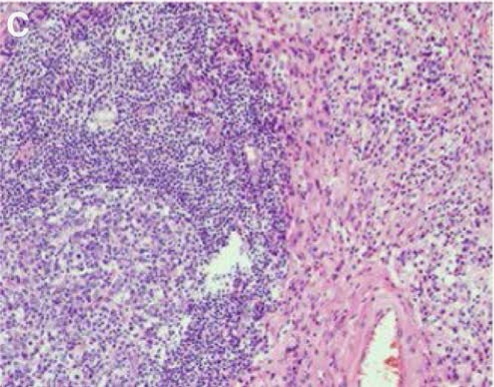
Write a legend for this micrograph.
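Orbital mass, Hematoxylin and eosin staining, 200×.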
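On the left lies part of a lymphoid follicle, with a rim of tightly packed small dark lymphocytes around a paler center containing larger cells with more cytoplasm. To the right, separated by a thin band of pink stroma, the tissue is filled with loosely scattered mixed inflammatory cells, some with pink cytoplasm. A vessel lined by flattened cells appears at the lower edge. This is a lymphoid follicle with a germinal center and inflammatory infiltrate around it.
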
